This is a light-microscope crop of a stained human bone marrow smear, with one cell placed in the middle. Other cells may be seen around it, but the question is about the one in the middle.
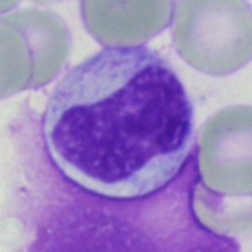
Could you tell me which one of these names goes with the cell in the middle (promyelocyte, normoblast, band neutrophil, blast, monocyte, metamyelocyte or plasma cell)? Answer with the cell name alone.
metamyelocyte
